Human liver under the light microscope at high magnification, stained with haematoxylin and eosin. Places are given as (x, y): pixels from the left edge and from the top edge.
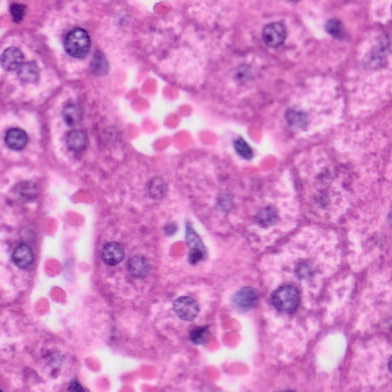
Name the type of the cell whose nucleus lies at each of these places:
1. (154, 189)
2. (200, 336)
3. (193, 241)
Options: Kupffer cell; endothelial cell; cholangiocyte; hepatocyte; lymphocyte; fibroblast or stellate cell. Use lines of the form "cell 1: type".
cell 1: hepatocyte
cell 2: fibroblast or stellate cell
cell 3: Kupffer cell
